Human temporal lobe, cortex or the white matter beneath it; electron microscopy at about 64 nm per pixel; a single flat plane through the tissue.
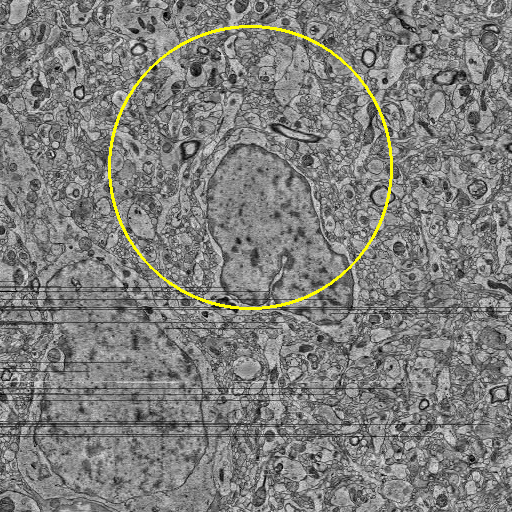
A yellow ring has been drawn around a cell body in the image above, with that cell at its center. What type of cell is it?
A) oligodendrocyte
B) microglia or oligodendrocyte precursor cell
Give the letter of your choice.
B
